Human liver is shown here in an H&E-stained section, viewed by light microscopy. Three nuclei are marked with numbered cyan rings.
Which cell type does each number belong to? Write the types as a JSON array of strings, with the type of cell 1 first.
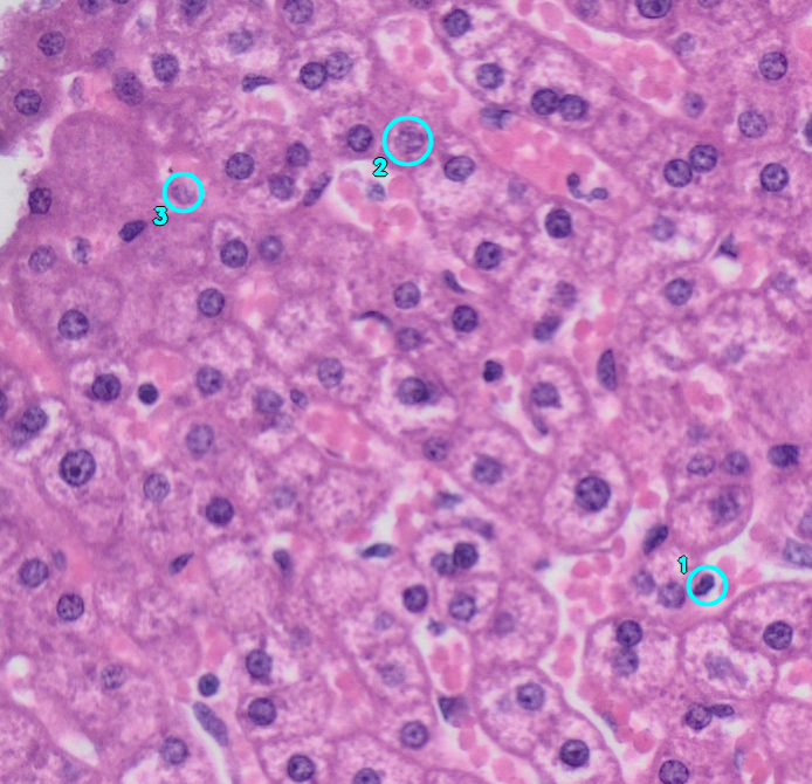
["lymphocyte", "hepatocyte", "Kupffer cell"]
